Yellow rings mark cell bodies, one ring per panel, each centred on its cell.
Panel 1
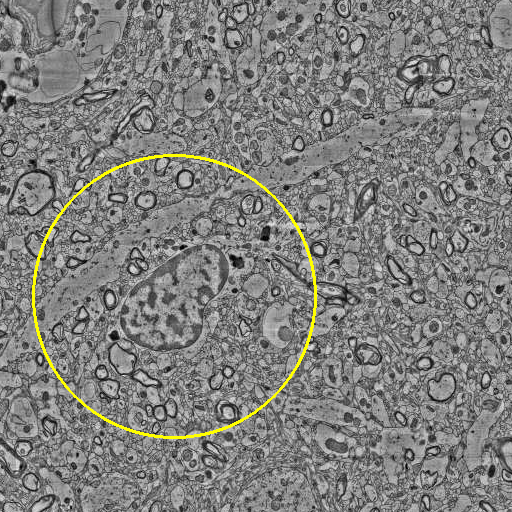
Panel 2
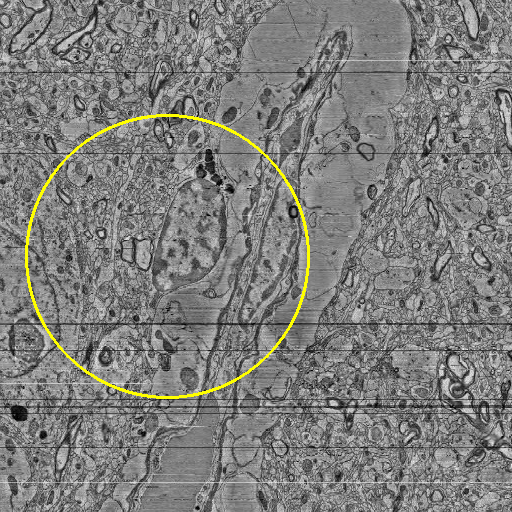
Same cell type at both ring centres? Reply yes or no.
yes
